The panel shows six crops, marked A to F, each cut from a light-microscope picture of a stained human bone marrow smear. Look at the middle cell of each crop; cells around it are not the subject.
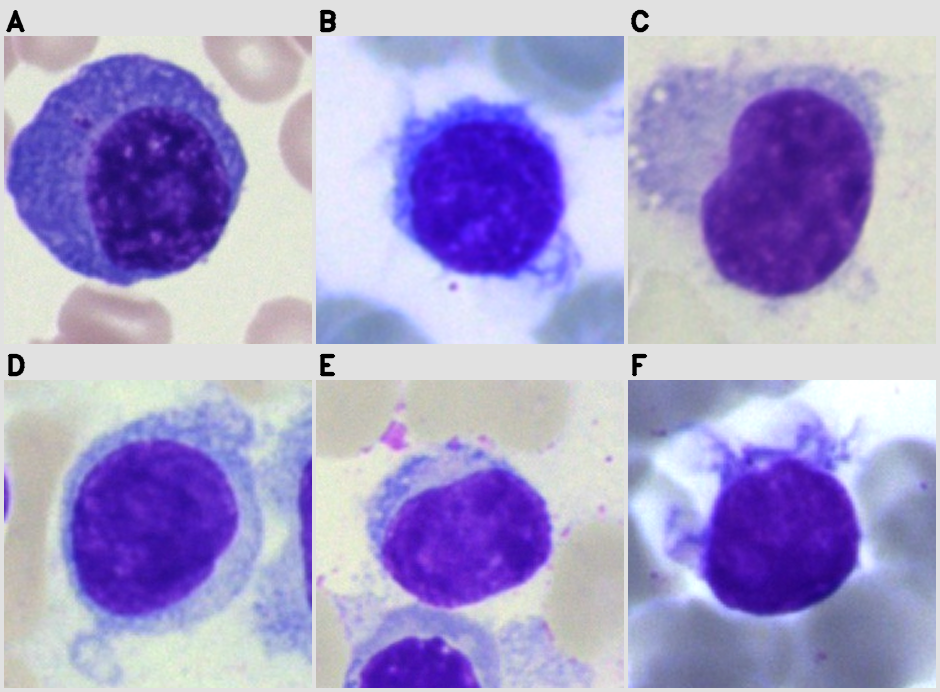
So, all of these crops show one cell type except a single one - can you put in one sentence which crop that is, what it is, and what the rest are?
Only crop A differs, being a plasma cell, while the others all show hairy cells.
